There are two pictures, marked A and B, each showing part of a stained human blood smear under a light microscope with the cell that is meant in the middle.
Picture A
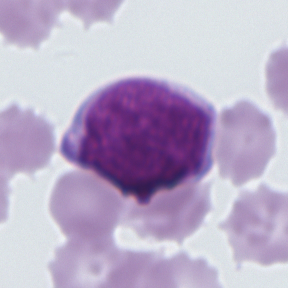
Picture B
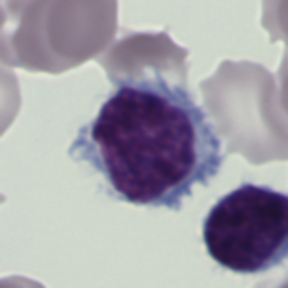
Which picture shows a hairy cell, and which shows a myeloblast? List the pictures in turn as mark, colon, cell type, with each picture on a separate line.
A: myeloblast
B: hairy cell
